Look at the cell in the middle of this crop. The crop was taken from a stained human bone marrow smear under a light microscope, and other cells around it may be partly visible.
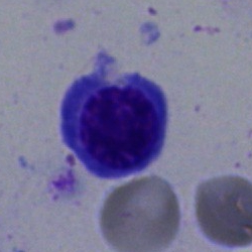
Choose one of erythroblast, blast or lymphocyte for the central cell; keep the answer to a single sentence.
The single cell at the center of the crop is an erythroblast.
